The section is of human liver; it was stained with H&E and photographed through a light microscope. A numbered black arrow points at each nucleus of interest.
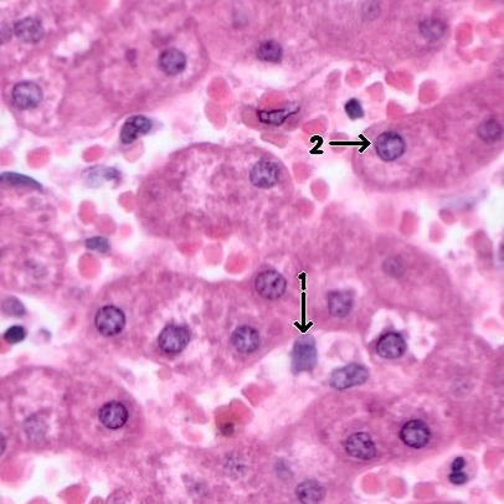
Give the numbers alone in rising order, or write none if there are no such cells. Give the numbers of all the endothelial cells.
1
